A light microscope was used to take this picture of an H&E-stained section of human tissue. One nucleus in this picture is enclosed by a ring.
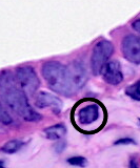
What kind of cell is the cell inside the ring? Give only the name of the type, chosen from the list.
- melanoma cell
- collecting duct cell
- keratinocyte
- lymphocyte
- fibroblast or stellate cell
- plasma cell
lymphocyte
